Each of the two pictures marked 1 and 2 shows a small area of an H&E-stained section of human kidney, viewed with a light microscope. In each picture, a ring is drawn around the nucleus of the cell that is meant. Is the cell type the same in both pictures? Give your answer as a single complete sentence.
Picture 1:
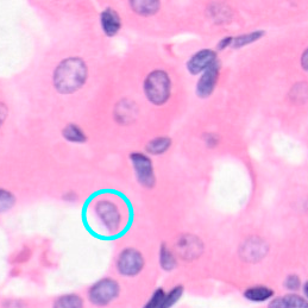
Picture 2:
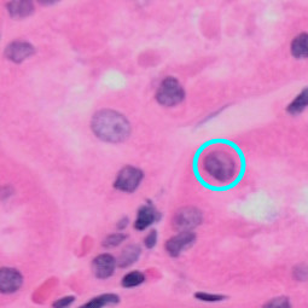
No, the types are not the same, since picture 1 shows a “loop of Henle or distal tubule cell” and picture 2 a proximal tubule cell.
